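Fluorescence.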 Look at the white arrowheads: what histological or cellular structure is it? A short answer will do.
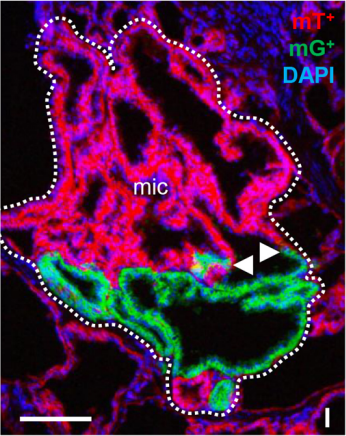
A: Clone borders.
